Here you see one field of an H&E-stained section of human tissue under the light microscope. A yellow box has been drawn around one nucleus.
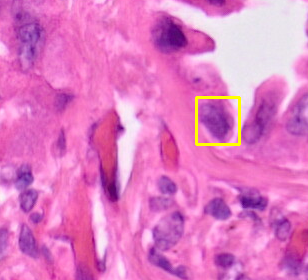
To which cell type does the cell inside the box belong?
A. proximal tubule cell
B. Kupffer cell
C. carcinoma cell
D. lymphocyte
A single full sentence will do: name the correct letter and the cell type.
Of all the options, C is right, since the cell inside the box is a carcinoma cell.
